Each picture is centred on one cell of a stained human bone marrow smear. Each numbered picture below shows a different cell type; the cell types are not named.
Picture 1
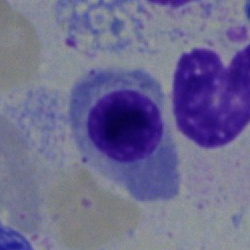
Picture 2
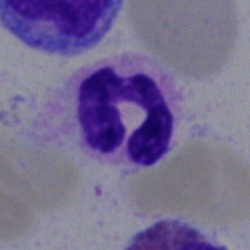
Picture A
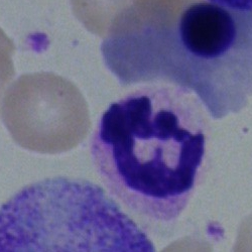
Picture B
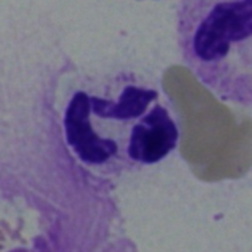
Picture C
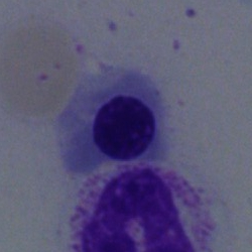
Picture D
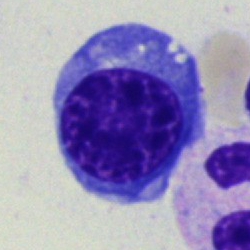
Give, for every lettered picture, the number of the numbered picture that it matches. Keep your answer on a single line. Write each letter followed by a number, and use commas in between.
A 2, B 2, C 1, D 1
